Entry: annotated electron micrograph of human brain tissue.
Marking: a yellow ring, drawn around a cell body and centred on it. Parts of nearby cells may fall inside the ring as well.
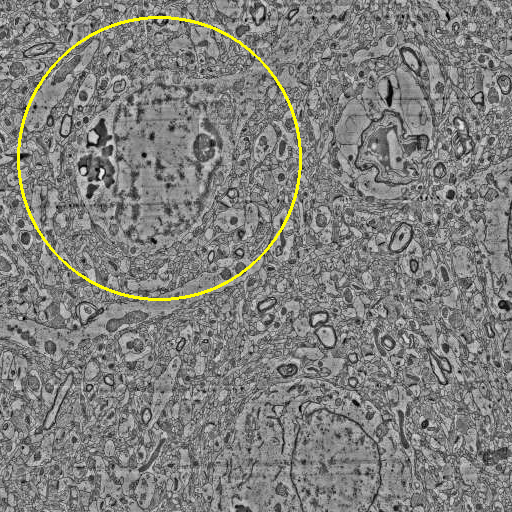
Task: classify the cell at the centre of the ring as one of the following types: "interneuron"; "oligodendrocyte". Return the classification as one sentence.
The marked cell is classified as an interneuron.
